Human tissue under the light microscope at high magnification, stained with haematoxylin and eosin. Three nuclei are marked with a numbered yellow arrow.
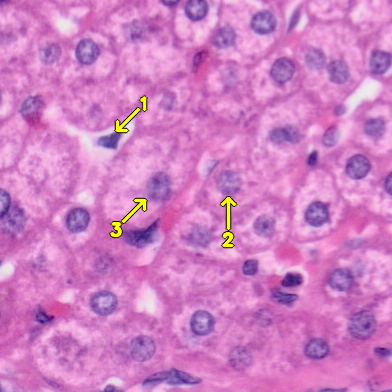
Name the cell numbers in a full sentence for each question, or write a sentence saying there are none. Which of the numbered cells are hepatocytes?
In terms of cell type, cells 2 and 3 are hepatocytes.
